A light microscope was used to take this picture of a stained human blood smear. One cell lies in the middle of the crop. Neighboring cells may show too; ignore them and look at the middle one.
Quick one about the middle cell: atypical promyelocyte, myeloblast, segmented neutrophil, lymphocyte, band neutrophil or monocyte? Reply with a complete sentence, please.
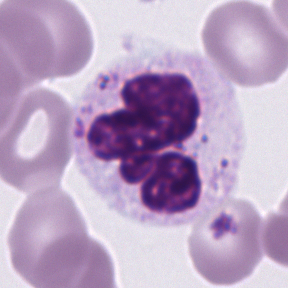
In this smear crop, the middle cell is a segmented neutrophil.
